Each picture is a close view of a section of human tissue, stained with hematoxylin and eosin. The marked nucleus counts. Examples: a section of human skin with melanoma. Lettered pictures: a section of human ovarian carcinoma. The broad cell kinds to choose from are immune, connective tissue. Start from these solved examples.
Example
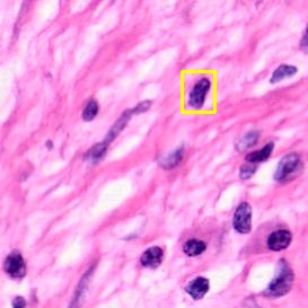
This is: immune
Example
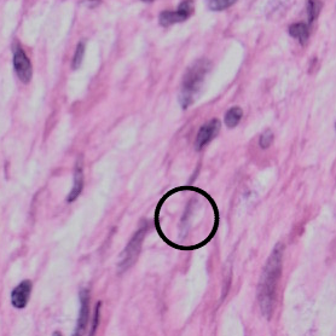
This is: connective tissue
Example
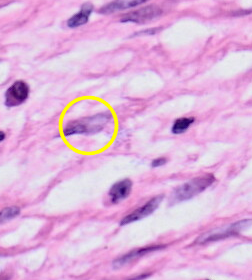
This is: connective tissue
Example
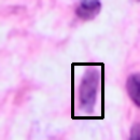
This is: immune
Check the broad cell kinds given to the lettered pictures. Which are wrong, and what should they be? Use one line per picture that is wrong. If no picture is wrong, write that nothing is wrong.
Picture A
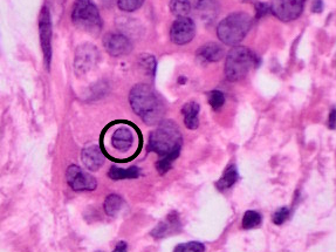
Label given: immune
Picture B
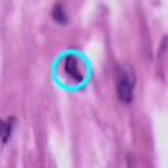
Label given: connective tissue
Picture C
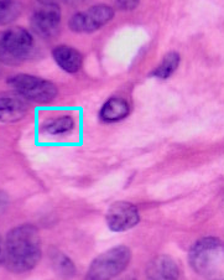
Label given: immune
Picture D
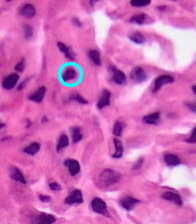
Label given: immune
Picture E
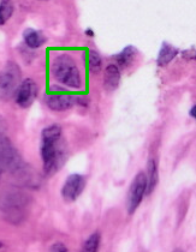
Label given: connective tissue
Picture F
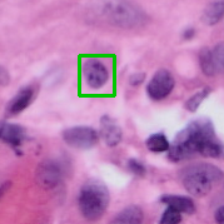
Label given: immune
D: change immune to connective tissue
E: change connective tissue to immune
